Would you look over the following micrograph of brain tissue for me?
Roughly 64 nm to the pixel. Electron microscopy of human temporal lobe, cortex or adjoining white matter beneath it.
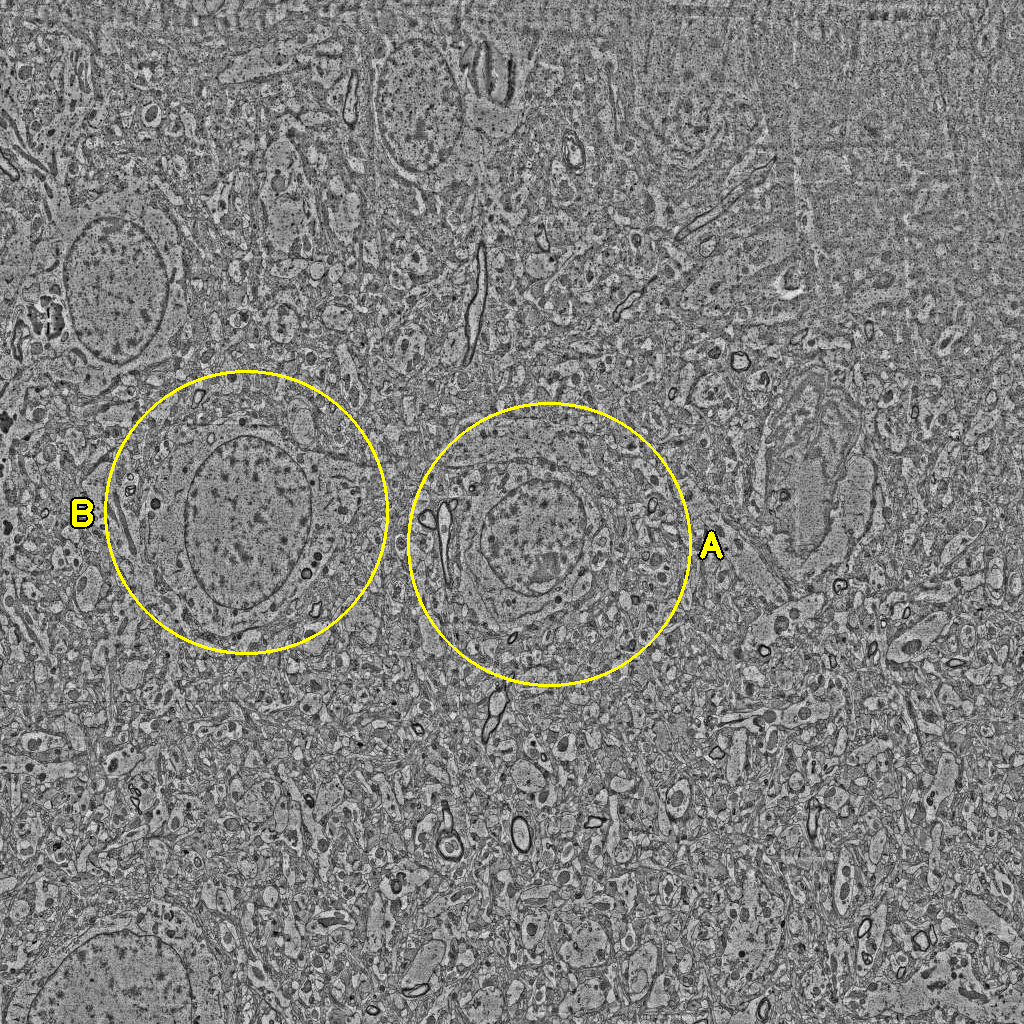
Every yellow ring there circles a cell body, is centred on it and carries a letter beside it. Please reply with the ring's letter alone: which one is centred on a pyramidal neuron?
B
